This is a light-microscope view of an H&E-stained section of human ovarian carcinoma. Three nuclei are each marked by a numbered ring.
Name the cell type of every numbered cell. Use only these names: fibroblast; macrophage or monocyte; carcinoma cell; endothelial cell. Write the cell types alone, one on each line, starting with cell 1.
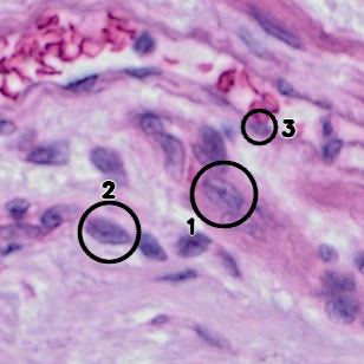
endothelial cell
fibroblast
endothelial cell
